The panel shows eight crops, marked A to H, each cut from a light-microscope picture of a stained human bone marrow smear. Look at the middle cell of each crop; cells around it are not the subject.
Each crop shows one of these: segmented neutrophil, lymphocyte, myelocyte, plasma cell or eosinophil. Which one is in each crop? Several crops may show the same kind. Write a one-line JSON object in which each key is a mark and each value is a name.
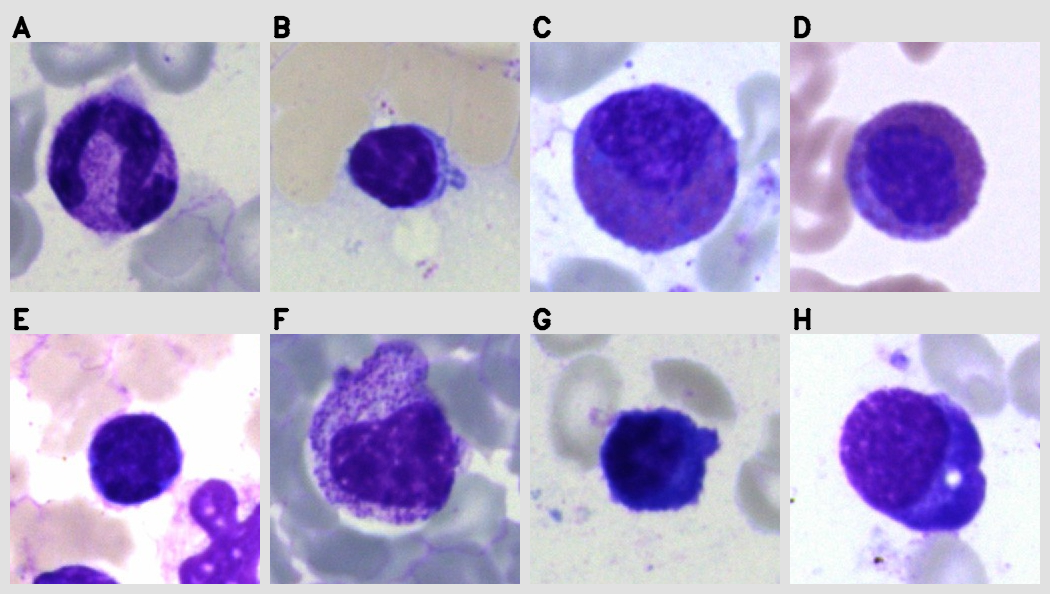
{"A": "segmented neutrophil", "B": "lymphocyte", "C": "eosinophil", "D": "eosinophil", "E": "lymphocyte", "F": "myelocyte", "G": "plasma cell", "H": "plasma cell"}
